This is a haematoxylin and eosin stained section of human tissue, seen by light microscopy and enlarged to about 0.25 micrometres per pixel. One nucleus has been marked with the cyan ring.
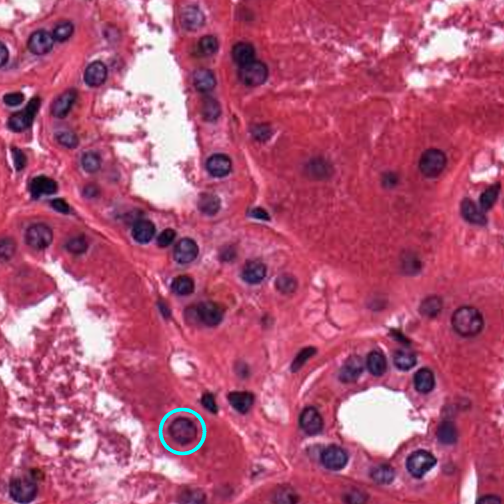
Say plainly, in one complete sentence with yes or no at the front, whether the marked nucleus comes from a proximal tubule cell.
Yes, the marked nucleus is the nucleus belonging to a proximal tubule cell.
